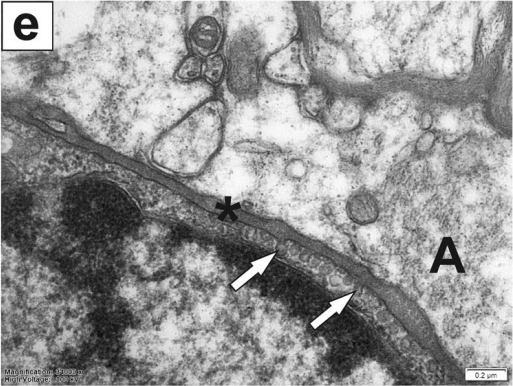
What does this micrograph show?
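Capillary wall with an endothelial cell and the bordering astrocyte. The endothelial nucleus at lower left shows coarse dark heterochromatin clumps under a thin rim of cytoplasm. A thin dense basement membrane band runs along the outer side of the endothelium, with small rounded membrane-bound profiles close to it. Beyond lies pale astrocytic cytoplasm containing membrane-bound profiles and a few mitochondria.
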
